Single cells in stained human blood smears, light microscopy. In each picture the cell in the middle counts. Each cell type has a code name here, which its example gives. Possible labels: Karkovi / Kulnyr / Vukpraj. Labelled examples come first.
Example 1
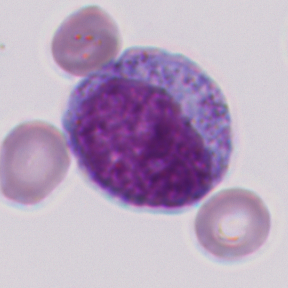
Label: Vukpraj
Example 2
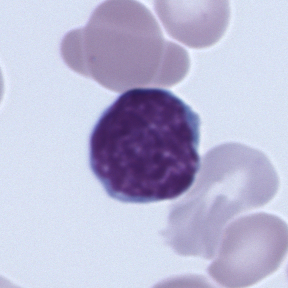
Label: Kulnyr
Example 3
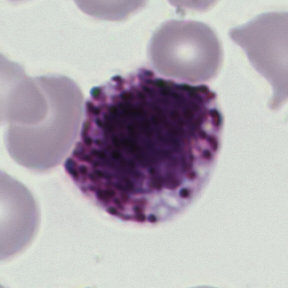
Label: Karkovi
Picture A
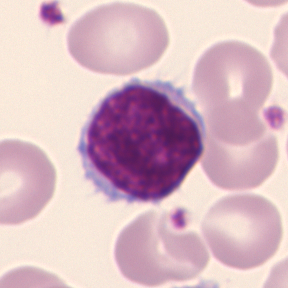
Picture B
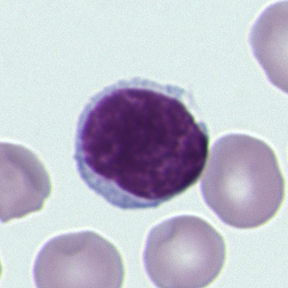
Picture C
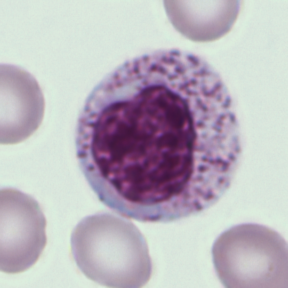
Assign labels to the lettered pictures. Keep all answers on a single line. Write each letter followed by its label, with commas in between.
A Kulnyr, B Kulnyr, C Vukpraj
